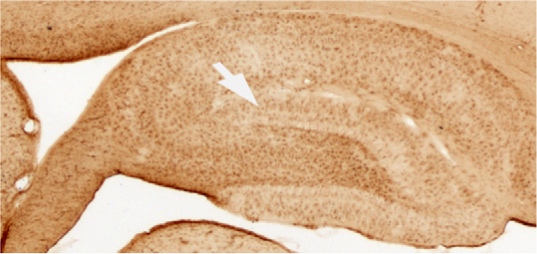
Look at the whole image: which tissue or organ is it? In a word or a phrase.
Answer: hippocampus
